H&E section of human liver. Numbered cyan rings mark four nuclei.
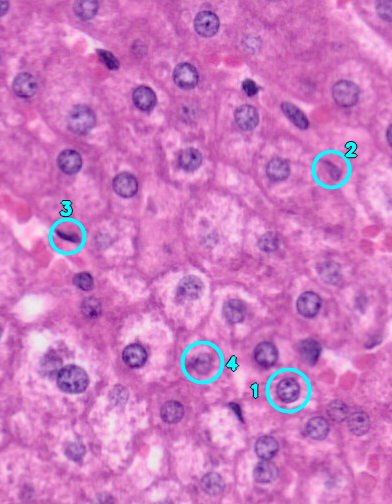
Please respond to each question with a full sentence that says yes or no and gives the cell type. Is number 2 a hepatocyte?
No, instead of a hepatocyte, the cell with number 2 is an endothelial cell.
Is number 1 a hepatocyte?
Yes, so the cell at label 1 is a hepatocyte.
